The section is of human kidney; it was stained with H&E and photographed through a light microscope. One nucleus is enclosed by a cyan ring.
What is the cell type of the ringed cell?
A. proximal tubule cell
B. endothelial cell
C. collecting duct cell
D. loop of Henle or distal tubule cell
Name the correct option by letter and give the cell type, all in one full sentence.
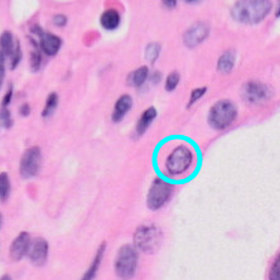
Option C, identifying the ringed cell as a collecting duct cell, is correct.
